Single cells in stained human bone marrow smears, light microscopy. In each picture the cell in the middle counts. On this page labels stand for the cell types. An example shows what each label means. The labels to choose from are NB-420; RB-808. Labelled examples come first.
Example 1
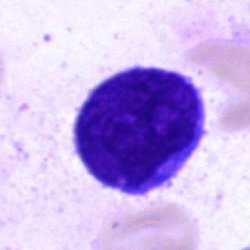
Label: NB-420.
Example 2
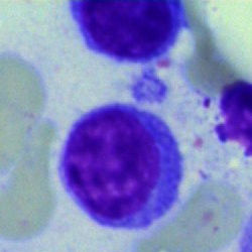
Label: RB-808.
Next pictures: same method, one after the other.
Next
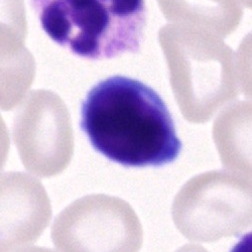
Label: RB-808.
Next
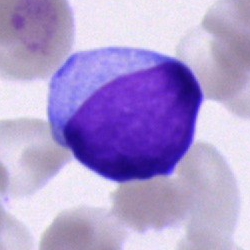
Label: NB-420.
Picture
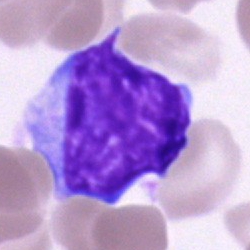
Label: NB-420.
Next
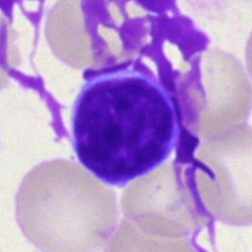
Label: RB-808.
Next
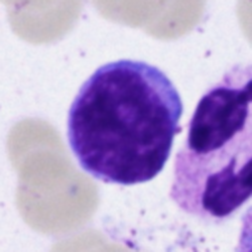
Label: RB-808.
